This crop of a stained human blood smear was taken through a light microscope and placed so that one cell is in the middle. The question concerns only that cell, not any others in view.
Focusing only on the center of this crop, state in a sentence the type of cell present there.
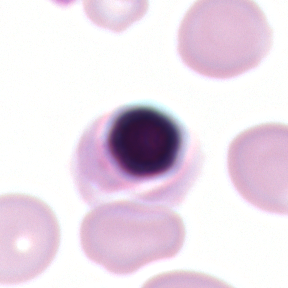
The cell at the heart of this crop is an erythroblast.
